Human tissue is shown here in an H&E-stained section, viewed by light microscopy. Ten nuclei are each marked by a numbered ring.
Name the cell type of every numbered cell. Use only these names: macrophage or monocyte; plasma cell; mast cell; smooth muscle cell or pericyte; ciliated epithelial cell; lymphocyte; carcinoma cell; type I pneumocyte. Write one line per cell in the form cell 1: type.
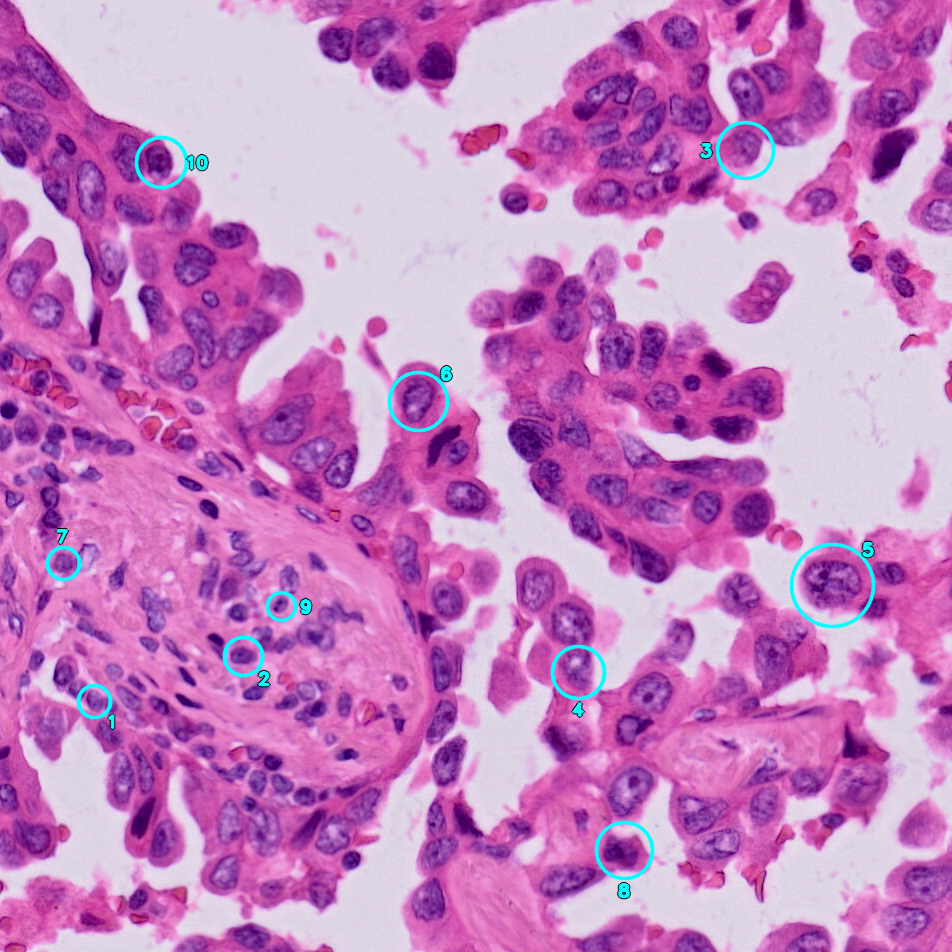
cell 1: lymphocyte
cell 2: lymphocyte
cell 3: carcinoma cell
cell 4: carcinoma cell
cell 5: carcinoma cell
cell 6: carcinoma cell
cell 7: plasma cell
cell 8: carcinoma cell
cell 9: lymphocyte
cell 10: carcinoma cell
